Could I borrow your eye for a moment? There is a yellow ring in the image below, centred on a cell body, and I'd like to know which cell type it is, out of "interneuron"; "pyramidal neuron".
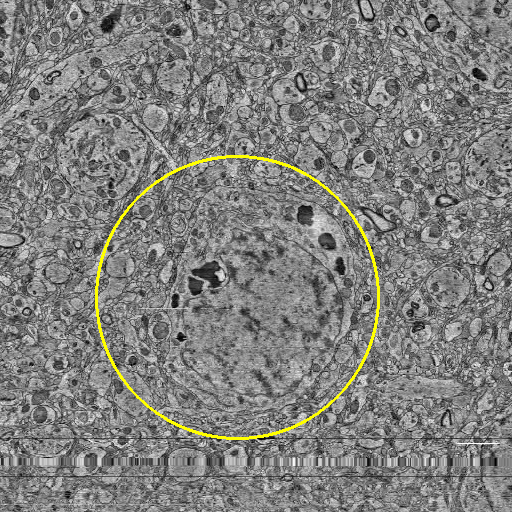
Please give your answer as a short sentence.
The cell body at the centre is that of an interneuron.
